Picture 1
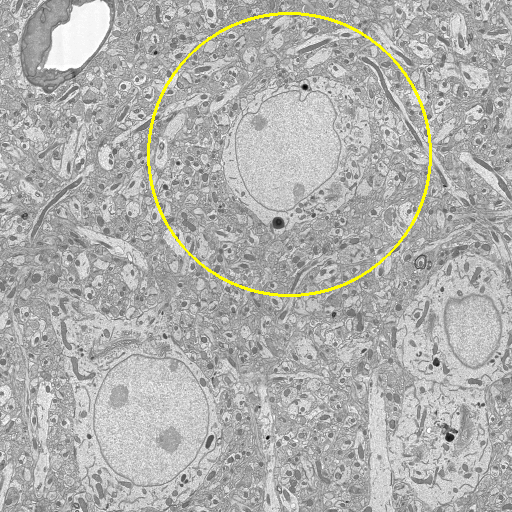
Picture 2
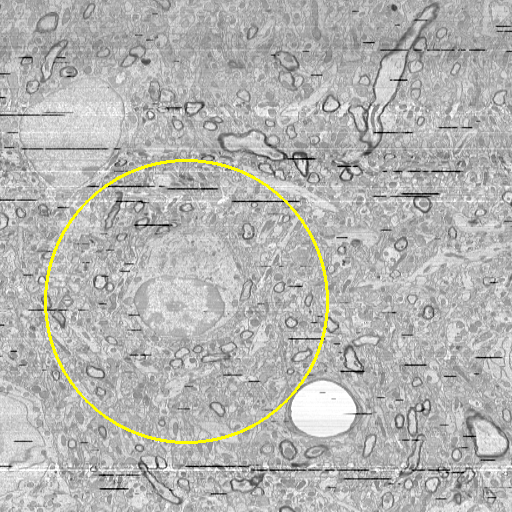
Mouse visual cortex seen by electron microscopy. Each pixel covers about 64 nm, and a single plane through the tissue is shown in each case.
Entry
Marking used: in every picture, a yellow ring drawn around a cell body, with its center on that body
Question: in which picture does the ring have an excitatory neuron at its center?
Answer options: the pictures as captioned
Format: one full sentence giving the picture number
Picture 1 is where the ring's center falls on the requested cell.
